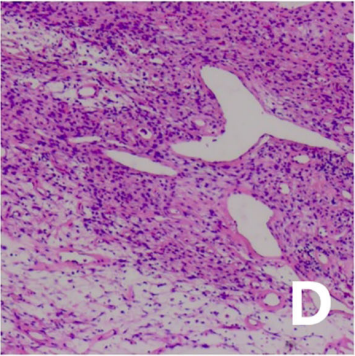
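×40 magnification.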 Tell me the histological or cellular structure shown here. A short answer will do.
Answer: Staghorn-shaped vessels.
